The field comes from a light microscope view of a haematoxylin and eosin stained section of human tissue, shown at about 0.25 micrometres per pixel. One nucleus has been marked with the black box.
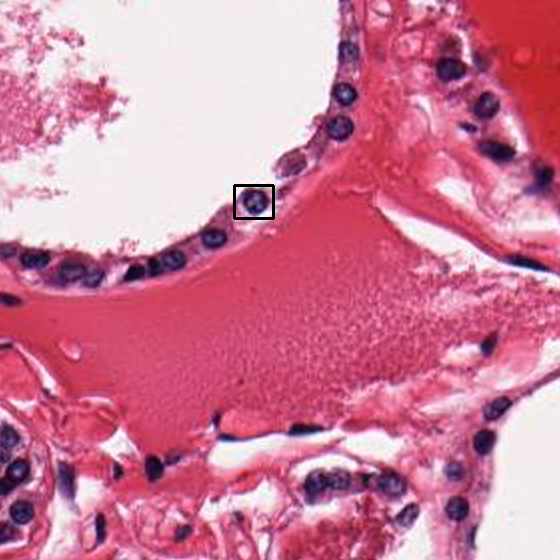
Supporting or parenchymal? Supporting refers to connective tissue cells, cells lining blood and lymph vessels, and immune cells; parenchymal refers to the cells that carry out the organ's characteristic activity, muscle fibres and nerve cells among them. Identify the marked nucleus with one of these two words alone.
parenchymal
